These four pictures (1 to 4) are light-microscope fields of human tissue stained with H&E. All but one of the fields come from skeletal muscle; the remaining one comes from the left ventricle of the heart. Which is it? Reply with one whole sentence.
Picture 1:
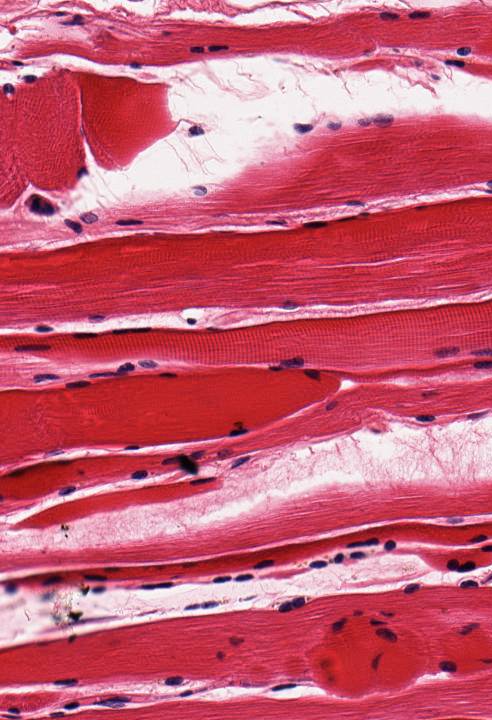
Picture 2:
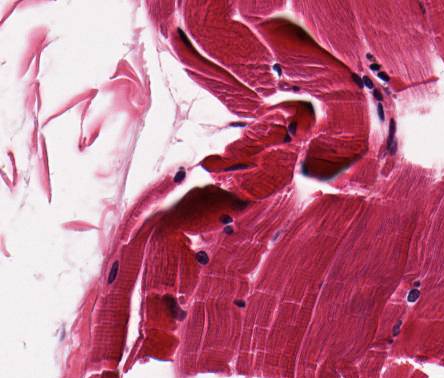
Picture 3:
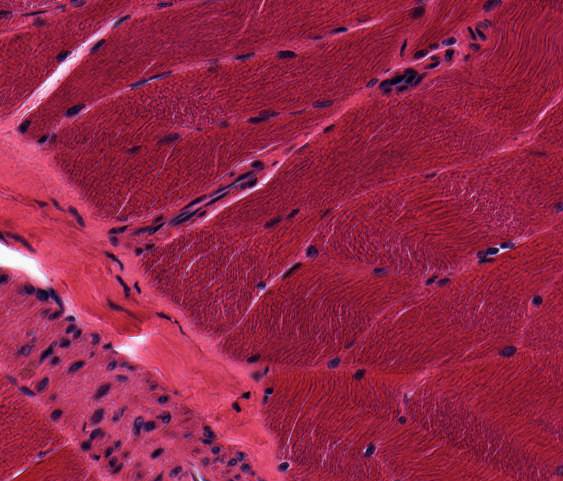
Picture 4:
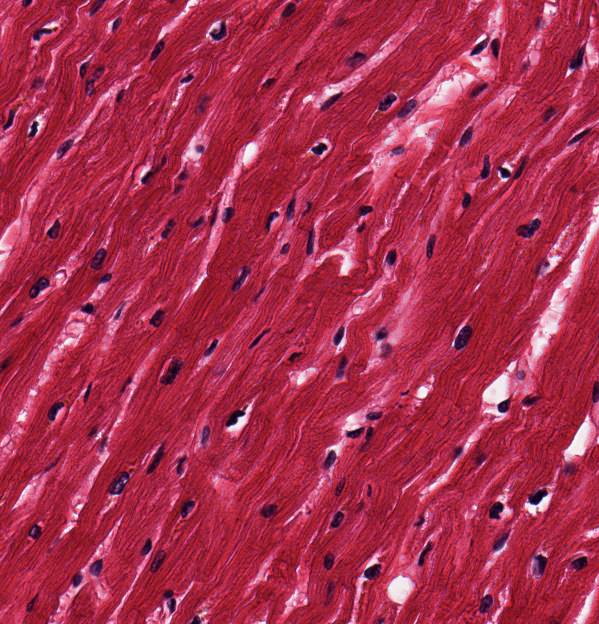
Picture 4 comes from the left ventricle of the heart.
